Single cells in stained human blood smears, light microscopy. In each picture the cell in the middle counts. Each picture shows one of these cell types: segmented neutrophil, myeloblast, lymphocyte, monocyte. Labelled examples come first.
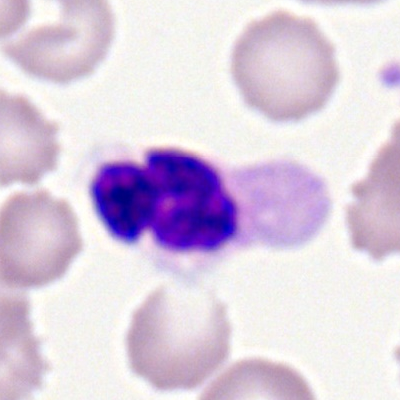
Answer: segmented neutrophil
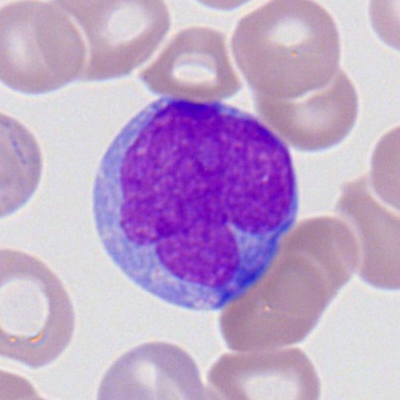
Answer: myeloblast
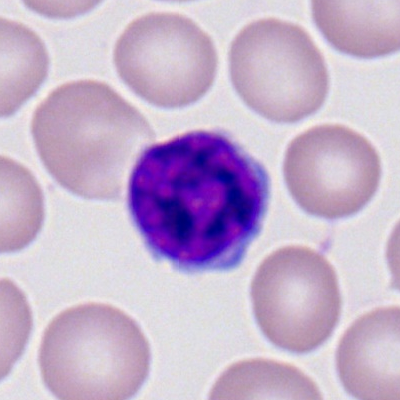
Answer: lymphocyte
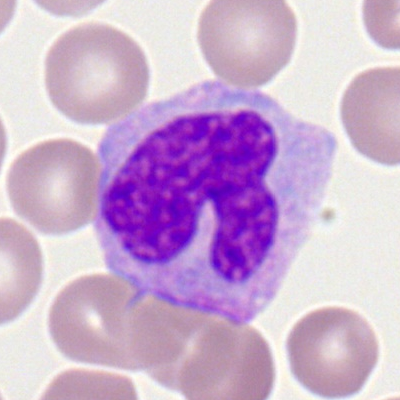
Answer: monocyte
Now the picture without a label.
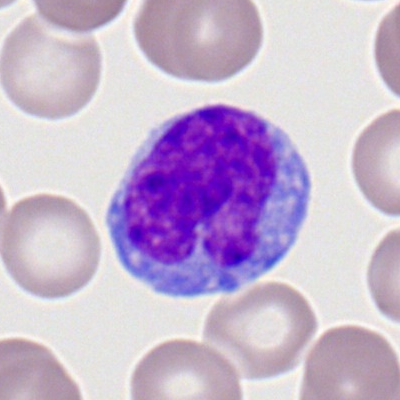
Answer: monocyte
